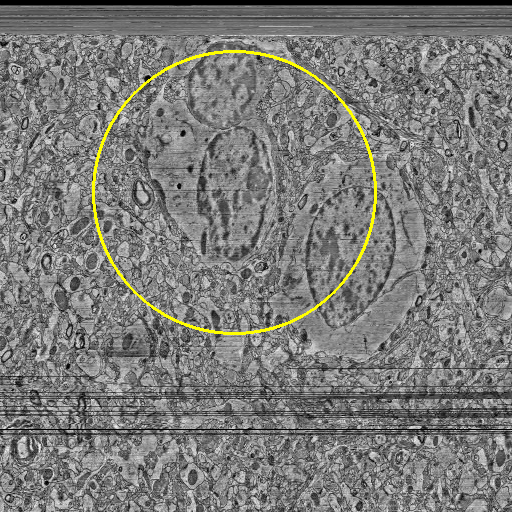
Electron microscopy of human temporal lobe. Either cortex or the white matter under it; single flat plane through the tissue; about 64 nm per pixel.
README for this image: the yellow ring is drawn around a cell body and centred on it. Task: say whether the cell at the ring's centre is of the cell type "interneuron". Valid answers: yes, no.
no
